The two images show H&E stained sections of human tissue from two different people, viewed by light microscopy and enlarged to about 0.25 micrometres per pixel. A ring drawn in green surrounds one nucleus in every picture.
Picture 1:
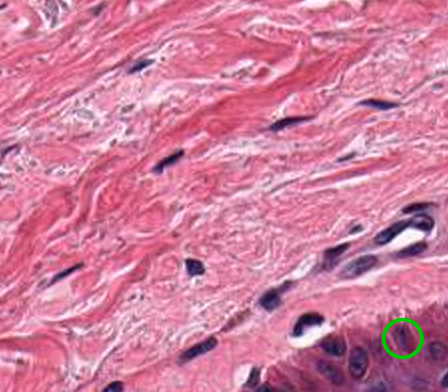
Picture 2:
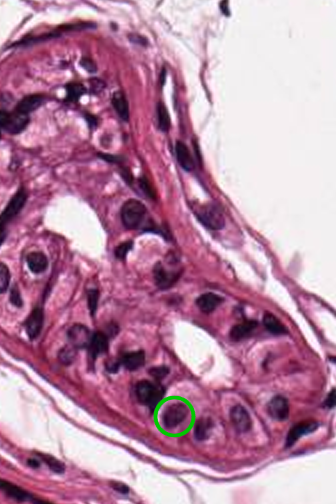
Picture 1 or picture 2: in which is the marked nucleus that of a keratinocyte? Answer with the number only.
1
